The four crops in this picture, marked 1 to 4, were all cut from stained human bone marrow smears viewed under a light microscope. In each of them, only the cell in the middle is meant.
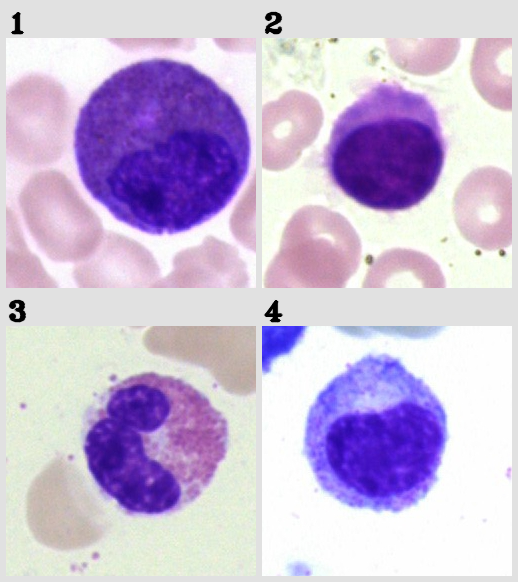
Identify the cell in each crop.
1: eosinophil
2: hairy cell
3: basophil
4: metamyelocyte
